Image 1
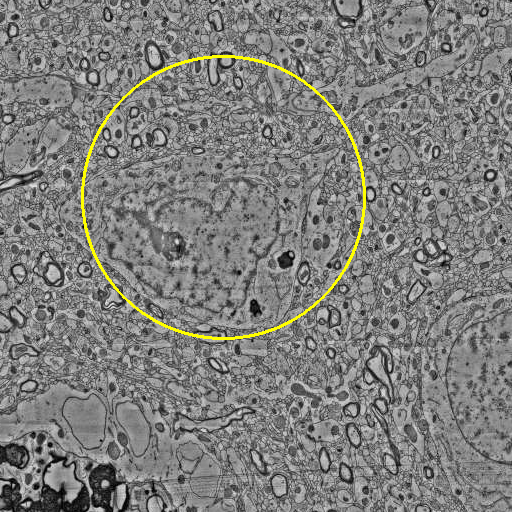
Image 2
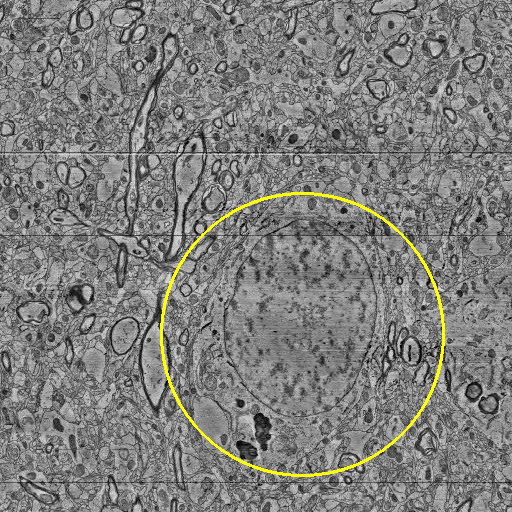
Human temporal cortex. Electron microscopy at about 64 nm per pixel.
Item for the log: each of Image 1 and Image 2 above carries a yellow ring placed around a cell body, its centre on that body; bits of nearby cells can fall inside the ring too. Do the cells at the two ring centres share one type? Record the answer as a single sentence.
No, the two cells at the ring centres in Image 1 and Image 2 are of two types.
